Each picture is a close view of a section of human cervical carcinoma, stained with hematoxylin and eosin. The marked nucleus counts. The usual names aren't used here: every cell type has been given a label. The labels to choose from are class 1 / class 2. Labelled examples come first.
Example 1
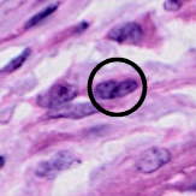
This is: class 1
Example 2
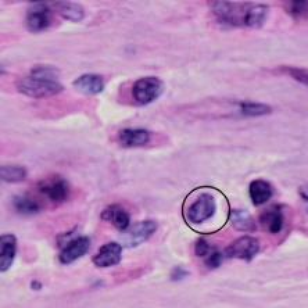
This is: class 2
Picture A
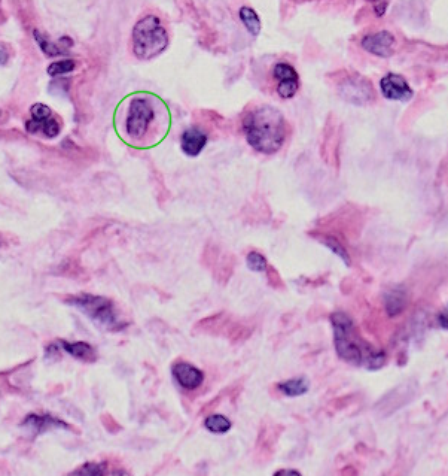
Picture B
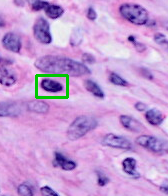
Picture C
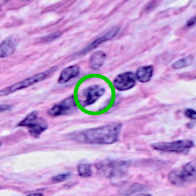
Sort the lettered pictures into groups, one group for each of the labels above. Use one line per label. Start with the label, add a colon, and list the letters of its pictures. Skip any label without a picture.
class 1: A
class 2: B, C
